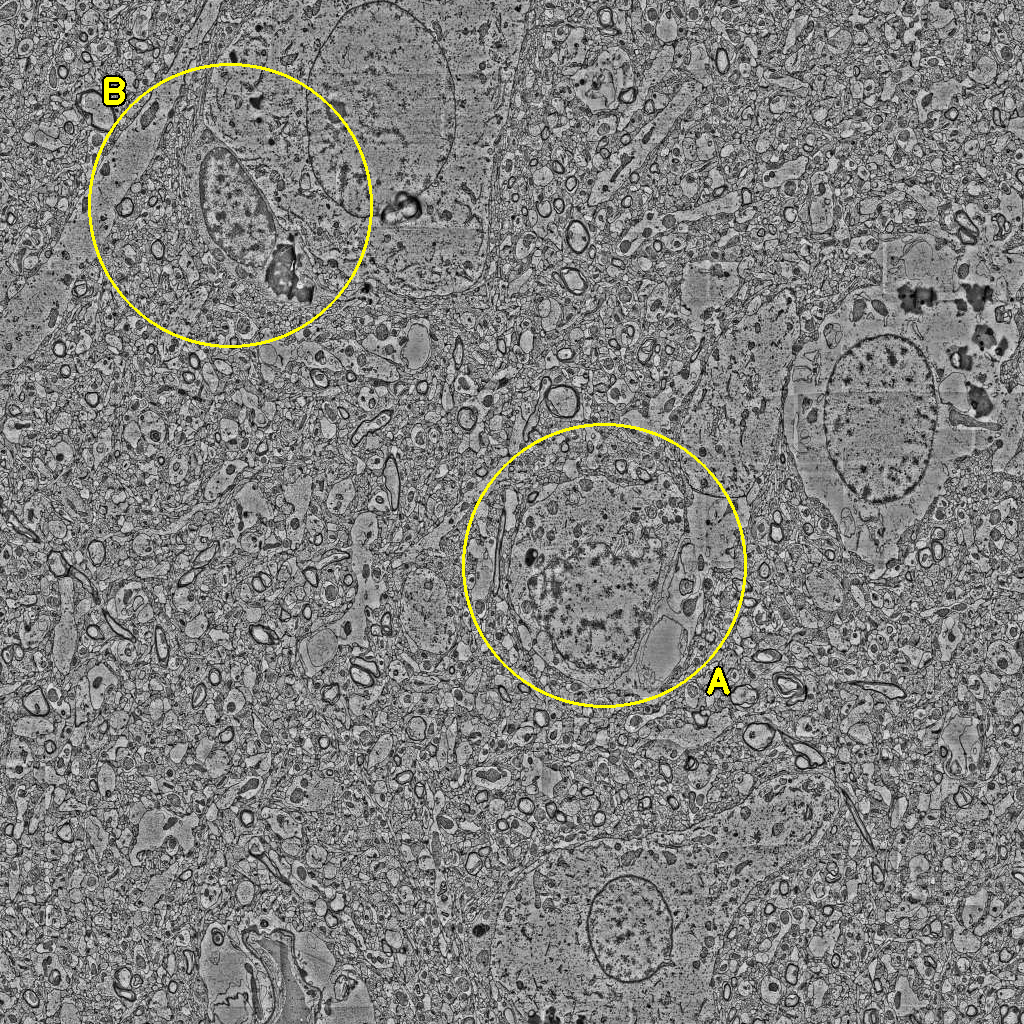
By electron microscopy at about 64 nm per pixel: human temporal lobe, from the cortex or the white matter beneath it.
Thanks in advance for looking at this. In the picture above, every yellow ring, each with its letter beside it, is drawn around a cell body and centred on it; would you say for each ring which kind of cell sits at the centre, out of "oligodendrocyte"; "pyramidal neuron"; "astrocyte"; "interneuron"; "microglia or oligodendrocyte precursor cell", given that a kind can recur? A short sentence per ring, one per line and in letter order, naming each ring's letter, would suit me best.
The cell body in ring A belongs to an interneuron.
The cell body in ring B belongs to an oligodendrocyte.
